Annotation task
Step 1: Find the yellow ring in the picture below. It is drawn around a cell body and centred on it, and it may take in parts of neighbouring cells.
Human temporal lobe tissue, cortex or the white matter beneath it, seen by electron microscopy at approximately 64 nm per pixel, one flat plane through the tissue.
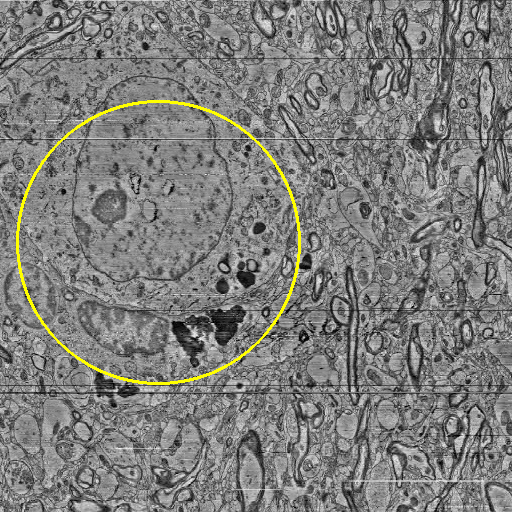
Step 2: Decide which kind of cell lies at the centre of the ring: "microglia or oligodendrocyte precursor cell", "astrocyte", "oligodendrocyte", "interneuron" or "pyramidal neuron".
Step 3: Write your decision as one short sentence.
The kind of cell at the ring's centre is a pyramidal neuron.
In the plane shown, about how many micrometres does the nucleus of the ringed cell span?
The nucleus works out at approximately 14 by 11 micrometres in this plane.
